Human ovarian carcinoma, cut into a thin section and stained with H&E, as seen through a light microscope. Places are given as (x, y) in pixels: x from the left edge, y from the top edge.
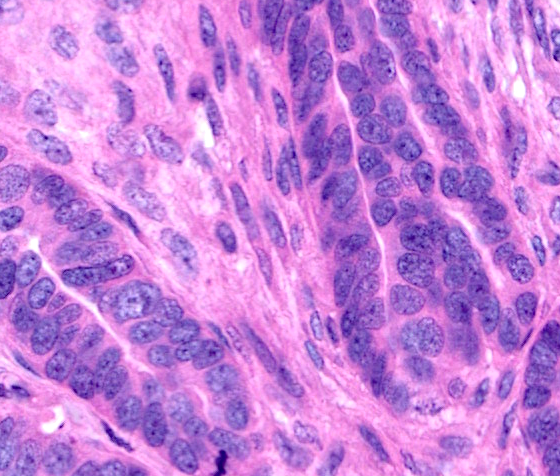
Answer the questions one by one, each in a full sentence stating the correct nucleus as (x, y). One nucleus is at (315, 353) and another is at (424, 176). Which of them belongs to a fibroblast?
The nucleus of a fibroblast is the one found at (315, 353), not the other.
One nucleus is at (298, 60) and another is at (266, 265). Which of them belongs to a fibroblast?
It is the nucleus at (266, 265) that forms part of a fibroblast.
